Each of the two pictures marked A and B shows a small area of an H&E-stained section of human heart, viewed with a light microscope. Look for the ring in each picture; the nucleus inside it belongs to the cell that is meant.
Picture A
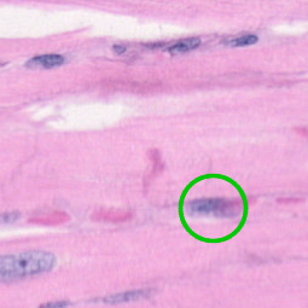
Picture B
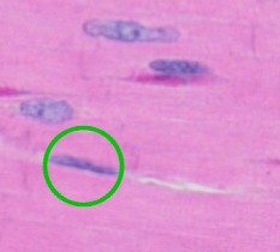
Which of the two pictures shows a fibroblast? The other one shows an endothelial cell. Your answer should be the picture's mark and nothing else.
B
